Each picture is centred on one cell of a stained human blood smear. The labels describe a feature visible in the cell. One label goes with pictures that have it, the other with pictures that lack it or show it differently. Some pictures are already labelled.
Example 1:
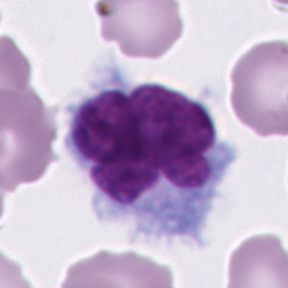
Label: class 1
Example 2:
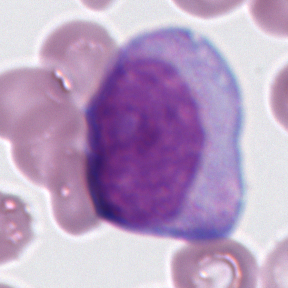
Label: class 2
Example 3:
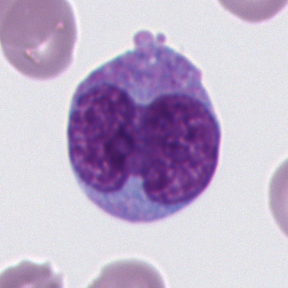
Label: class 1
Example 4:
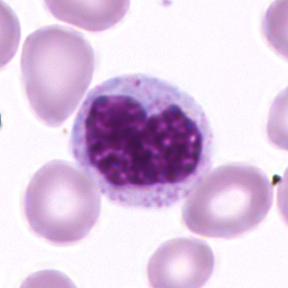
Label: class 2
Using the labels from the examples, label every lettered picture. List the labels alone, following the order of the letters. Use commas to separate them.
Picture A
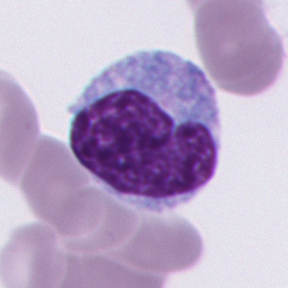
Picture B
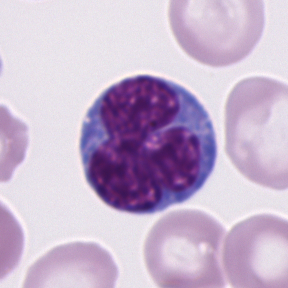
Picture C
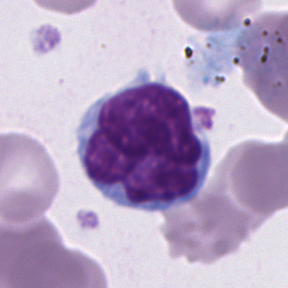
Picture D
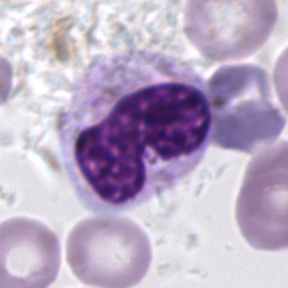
class 2, class 1, class 1, class 2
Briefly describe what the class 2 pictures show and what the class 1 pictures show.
In class 2: single compact nucleus. In class 1: lobed nucleus.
